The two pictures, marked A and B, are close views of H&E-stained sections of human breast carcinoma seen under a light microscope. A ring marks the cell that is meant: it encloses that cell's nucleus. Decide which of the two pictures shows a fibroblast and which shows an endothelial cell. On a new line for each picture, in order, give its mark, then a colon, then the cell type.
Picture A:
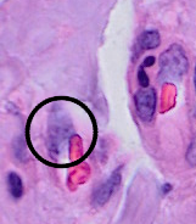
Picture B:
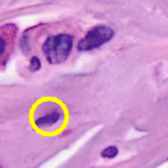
A: endothelial cell
B: fibroblast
